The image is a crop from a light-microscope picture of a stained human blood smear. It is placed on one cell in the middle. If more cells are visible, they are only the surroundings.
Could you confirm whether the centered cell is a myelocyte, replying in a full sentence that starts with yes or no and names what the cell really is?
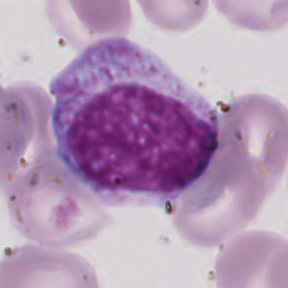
Yes, the cell in the exact middle is a myelocyte.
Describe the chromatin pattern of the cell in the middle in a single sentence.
The chromatin pattern is fine and free of coarse clumps.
